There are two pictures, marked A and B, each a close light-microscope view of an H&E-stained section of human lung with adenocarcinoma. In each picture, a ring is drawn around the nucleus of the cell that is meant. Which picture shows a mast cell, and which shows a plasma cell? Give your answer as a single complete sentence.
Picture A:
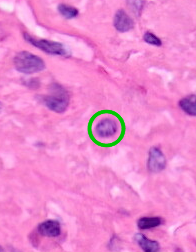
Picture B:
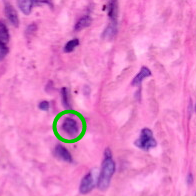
Picture B shows a plasma cell, while picture A shows a mast cell.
